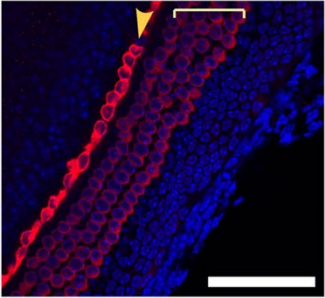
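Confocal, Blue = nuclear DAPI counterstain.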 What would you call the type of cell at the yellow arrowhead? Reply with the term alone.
inner hair cells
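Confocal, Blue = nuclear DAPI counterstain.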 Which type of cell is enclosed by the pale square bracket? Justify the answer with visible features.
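A single separate row lies to one side of them.
Conclusion: outer hair cells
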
